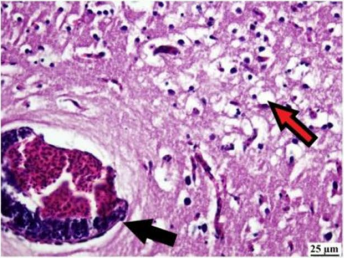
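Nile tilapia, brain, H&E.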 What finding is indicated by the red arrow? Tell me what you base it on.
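The red arrow points into an area of the neuropil full of clear empty spaces. The vacuolated area contrasts with the solid pink neuropil elsewhere in the panel.
Hence: vacuolation.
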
